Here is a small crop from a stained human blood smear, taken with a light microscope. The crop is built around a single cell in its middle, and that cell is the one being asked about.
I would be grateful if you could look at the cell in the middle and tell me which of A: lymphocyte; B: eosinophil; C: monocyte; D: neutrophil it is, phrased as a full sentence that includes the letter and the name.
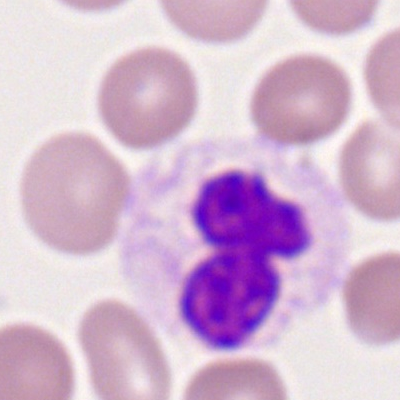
Of the choices given, option D is right, as the central cell is a neutrophil.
